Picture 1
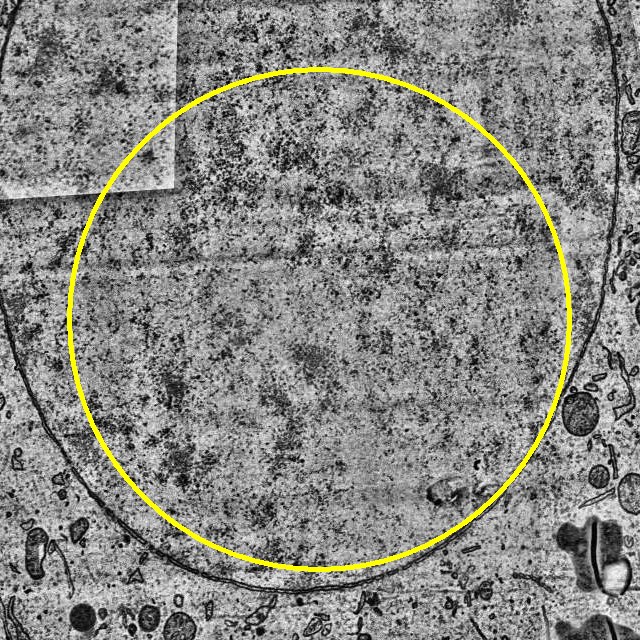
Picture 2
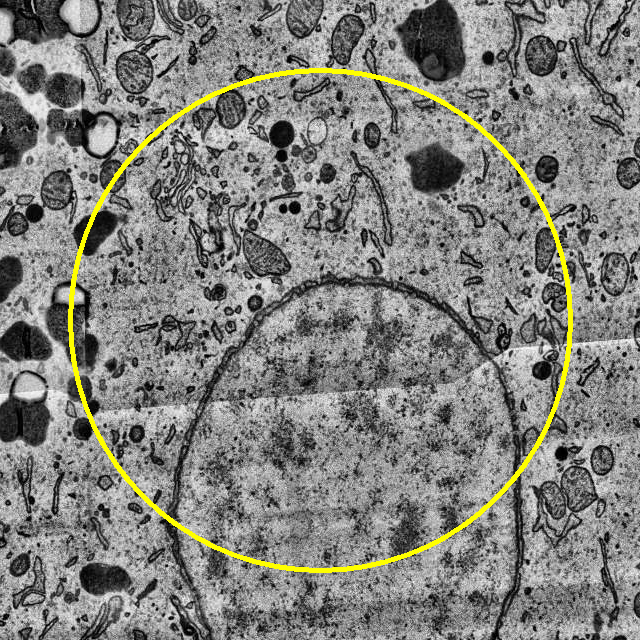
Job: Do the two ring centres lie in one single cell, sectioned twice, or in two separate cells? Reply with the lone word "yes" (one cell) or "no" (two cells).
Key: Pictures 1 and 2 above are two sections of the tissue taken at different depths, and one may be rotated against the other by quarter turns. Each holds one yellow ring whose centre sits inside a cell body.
yes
